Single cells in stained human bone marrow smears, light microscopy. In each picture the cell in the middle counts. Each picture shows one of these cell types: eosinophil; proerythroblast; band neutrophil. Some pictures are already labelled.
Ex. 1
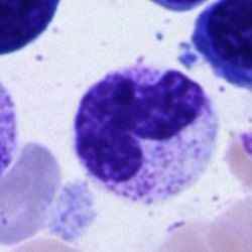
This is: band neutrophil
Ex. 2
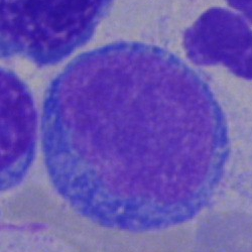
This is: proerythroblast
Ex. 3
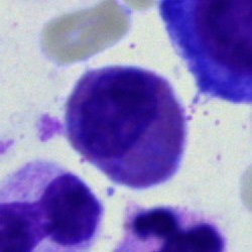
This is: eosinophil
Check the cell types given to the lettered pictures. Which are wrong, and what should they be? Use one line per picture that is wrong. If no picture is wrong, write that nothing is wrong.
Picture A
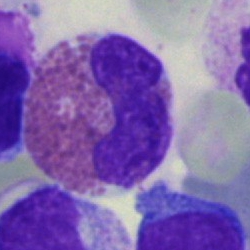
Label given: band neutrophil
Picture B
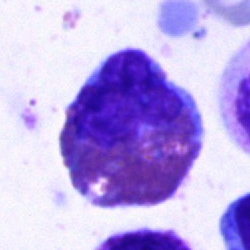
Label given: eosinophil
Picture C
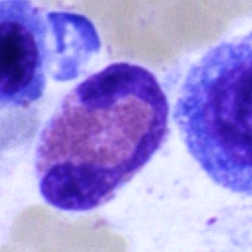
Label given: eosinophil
A: change band neutrophil to eosinophil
